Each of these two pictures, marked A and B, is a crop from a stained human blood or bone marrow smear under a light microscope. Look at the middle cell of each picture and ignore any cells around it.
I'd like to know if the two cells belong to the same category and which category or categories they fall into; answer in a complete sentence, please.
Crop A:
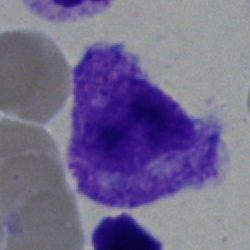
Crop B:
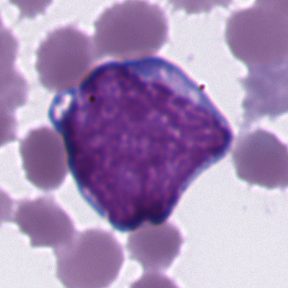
No, what crop A shows is a myelocyte, and what crop B shows is a blast.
